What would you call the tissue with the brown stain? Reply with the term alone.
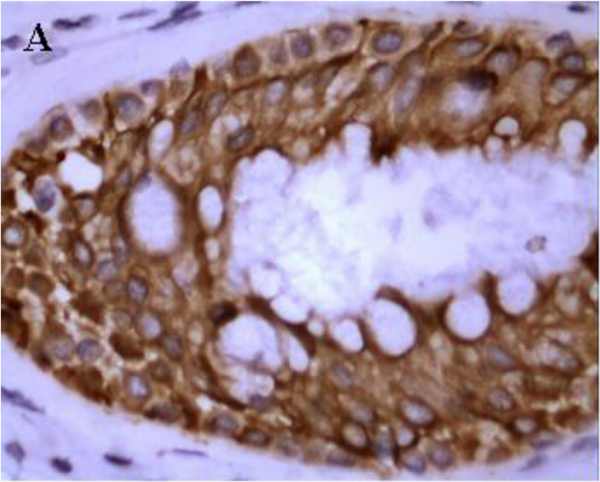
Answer: Glandular epithelium.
